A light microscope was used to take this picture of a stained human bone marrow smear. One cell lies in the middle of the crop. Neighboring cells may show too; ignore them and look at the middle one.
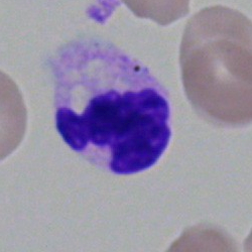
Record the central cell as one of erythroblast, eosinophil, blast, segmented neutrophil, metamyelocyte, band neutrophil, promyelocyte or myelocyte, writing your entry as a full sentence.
The cell the crop is centered on is a segmented neutrophil.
